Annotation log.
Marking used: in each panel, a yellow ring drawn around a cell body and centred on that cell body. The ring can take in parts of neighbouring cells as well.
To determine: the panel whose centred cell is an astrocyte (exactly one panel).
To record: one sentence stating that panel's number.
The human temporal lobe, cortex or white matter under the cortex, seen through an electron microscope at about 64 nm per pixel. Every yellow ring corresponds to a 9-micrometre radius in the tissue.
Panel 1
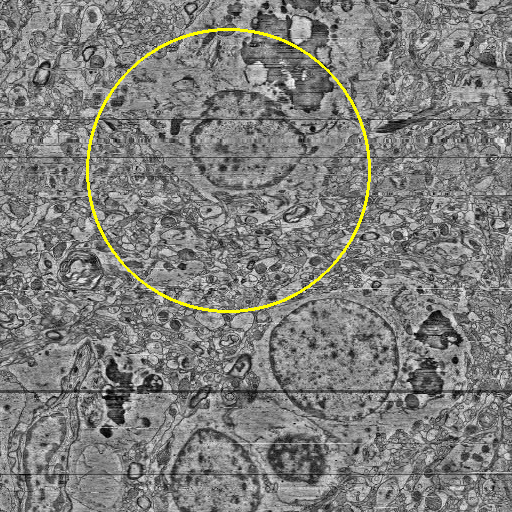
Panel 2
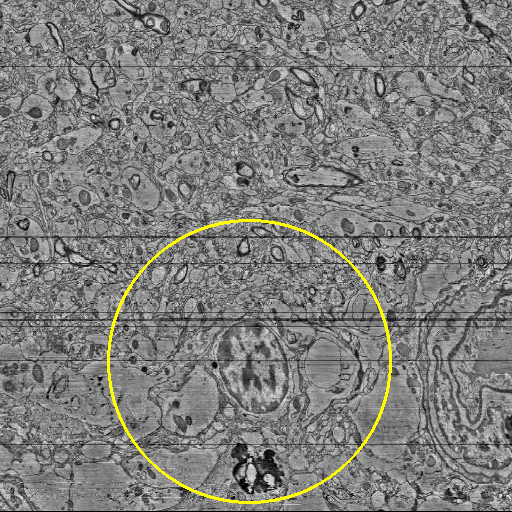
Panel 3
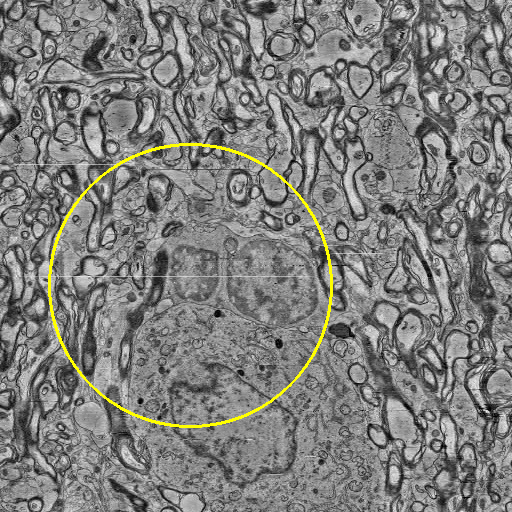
Panel 1 shows it at the centre of its ring.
